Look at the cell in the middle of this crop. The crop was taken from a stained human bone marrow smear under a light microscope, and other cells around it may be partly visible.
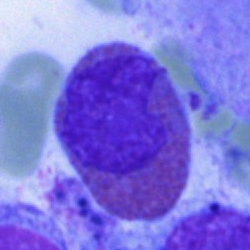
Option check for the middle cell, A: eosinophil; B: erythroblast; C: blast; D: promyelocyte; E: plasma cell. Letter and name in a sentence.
Option A is correct in naming the middle cell an eosinophil.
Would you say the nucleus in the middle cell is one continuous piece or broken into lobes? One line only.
The nuclear material is gathered into one compact round, oval or kidney-shaped mass.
